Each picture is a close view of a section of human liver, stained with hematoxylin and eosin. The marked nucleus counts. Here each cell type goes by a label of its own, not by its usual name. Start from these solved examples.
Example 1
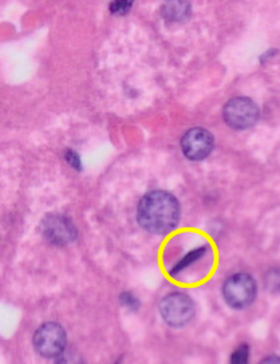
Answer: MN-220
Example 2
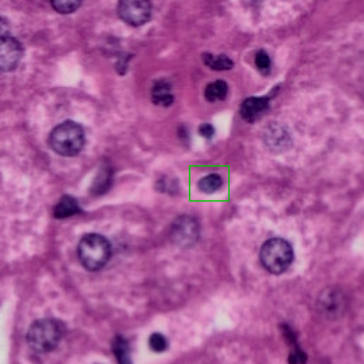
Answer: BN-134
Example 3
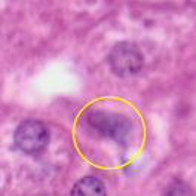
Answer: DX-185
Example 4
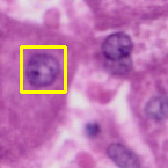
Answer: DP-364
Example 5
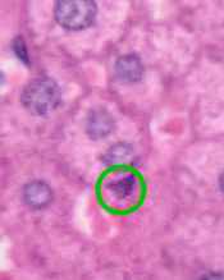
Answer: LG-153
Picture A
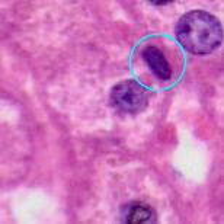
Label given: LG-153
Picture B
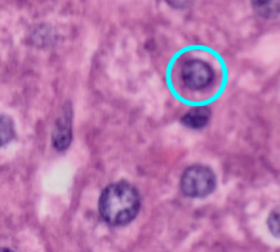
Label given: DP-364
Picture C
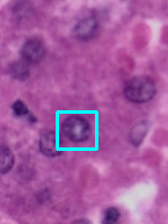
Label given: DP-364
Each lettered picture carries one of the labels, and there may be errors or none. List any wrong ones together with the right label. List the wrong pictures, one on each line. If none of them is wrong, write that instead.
All labels are correct.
